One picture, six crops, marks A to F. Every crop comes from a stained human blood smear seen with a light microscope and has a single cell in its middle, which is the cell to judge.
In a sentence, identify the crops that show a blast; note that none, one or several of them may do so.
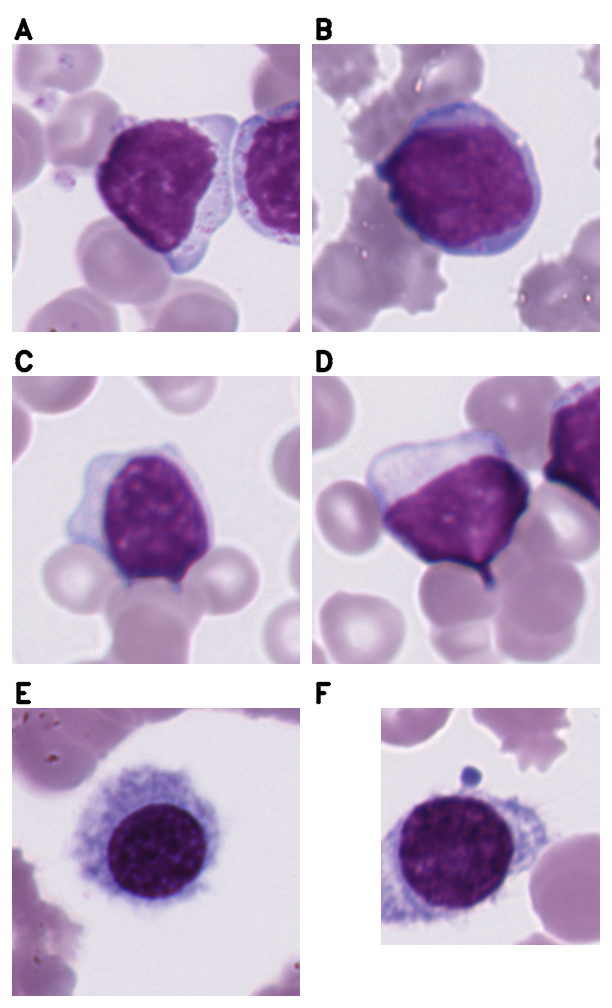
Crop B stands alone among the crops in showing a blast.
